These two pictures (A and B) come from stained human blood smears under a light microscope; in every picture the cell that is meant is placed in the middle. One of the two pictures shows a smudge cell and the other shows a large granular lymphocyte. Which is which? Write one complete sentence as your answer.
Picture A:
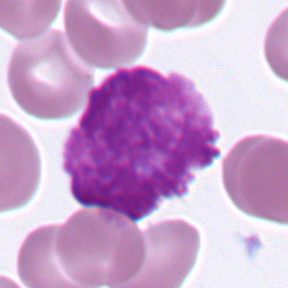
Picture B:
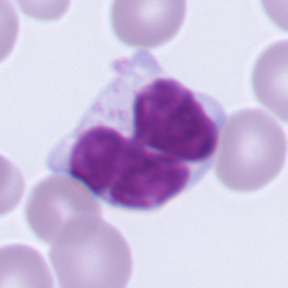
Picture A shows a smudge cell and picture B shows a large granular lymphocyte.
